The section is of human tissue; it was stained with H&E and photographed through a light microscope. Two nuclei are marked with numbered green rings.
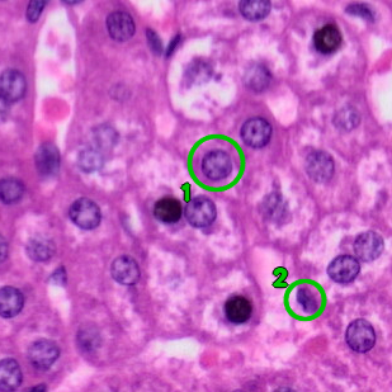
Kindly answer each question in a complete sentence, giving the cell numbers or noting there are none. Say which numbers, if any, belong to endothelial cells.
Cell 2 is an endothelial cell, whereas each of the other numbered cells is not.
